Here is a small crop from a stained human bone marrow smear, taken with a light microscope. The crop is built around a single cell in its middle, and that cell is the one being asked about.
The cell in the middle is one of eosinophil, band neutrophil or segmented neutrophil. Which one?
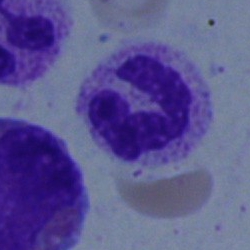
band neutrophil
